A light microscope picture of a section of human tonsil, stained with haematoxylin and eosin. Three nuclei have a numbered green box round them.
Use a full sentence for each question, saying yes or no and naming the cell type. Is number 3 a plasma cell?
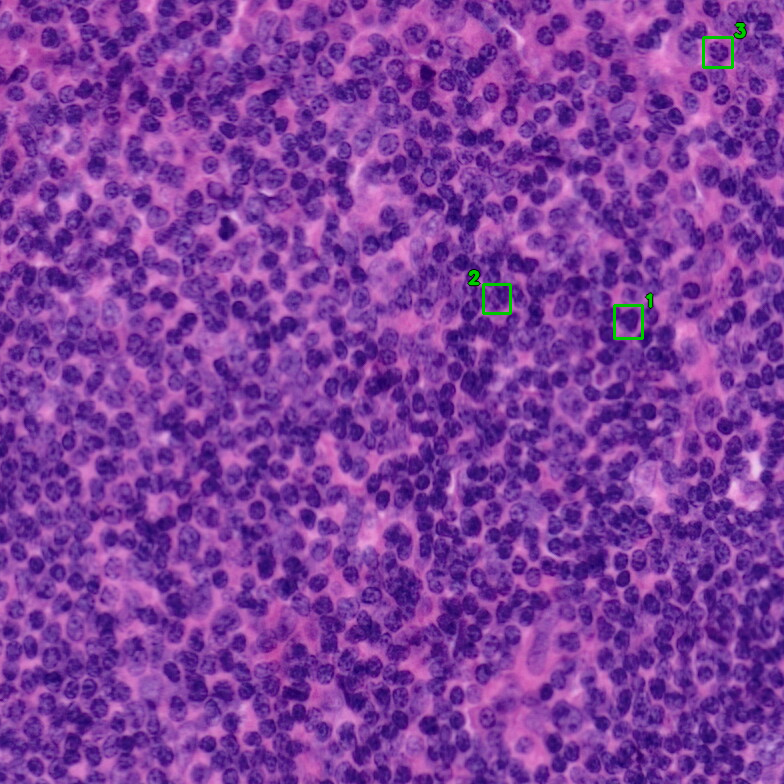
Yes, the cell corresponding to number 3 is a plasma cell.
